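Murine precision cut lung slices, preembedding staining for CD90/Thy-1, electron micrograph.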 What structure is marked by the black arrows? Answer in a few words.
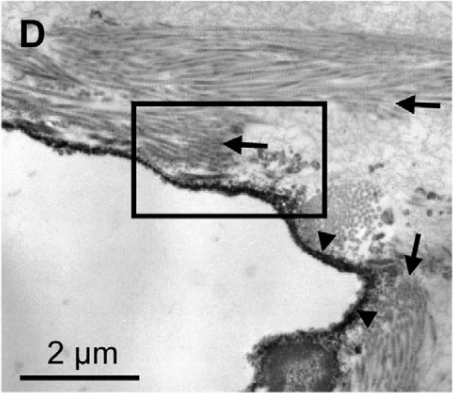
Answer: Collagen fibers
